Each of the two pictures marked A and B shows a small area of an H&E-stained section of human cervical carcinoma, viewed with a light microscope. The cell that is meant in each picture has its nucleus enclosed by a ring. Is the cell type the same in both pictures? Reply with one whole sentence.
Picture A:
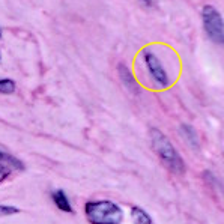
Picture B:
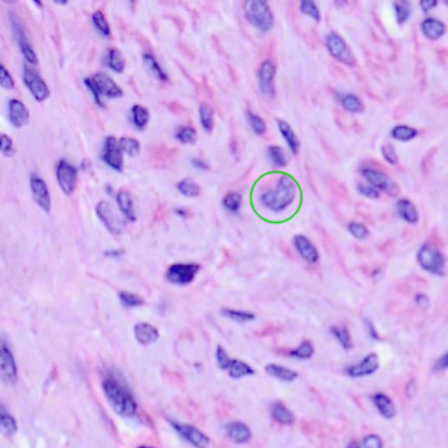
Yes, both cells are smooth muscle cells.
